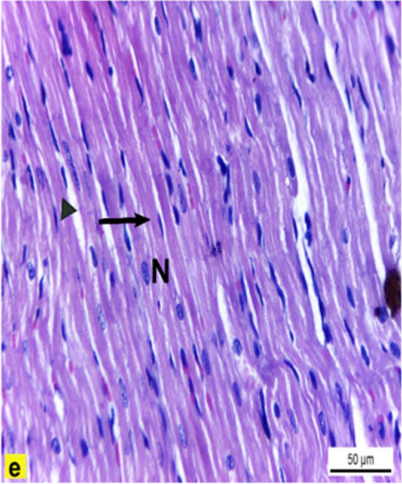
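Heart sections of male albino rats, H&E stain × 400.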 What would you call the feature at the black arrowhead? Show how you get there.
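The arrowhead points to a thin pale gap between adjacent fibres. The answer: interstices.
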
